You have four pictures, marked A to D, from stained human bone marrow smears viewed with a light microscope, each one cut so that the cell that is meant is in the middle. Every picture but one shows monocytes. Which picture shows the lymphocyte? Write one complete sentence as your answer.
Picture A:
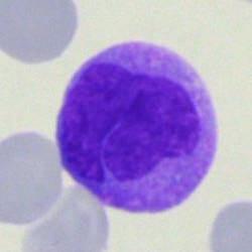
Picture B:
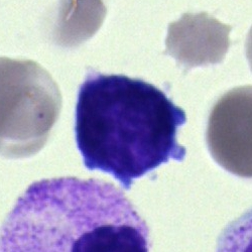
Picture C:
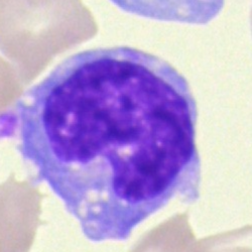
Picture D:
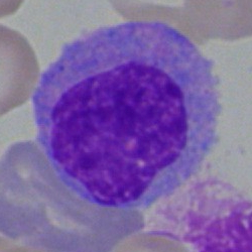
The lymphocyte is the one in picture B.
